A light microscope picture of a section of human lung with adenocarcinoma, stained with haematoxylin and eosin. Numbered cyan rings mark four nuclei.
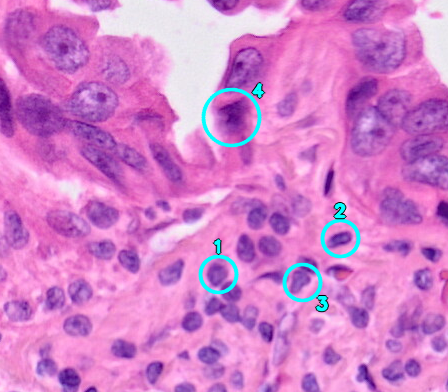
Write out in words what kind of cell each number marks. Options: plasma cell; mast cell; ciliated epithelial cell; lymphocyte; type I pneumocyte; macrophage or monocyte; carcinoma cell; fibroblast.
Cell 1 is a lymphocyte, cell 2 is a lymphocyte, cell 3 is a lymphocyte and cell 4 is a carcinoma cell.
